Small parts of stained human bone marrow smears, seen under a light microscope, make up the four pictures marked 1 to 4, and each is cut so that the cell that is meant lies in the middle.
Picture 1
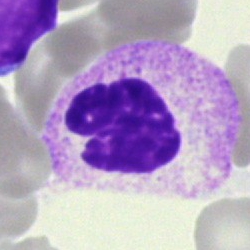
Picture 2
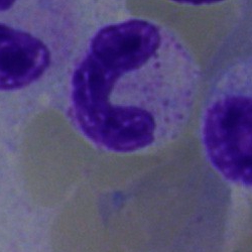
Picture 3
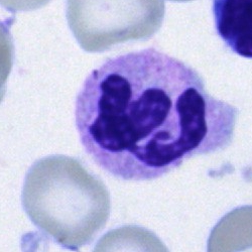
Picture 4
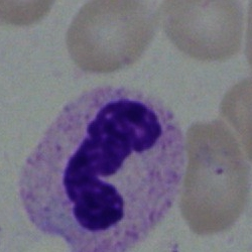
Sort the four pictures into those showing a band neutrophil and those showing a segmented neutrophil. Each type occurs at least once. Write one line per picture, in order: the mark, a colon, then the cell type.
1: segmented neutrophil
2: band neutrophil
3: segmented neutrophil
4: band neutrophil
